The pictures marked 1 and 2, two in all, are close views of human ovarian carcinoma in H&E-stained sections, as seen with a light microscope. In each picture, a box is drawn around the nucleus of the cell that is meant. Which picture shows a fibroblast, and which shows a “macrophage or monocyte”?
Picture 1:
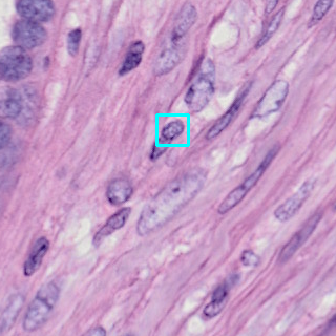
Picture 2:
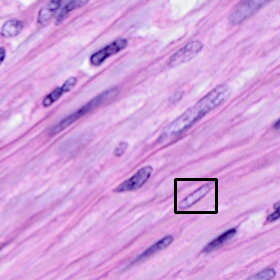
1: macrophage or monocyte
2: fibroblast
